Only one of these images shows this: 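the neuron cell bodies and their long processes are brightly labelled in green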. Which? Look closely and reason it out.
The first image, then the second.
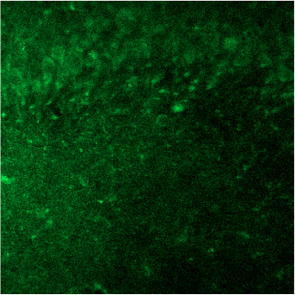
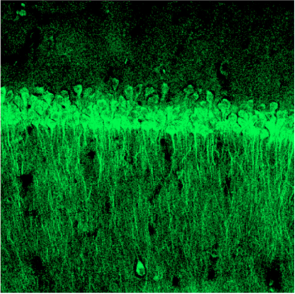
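First image: only faint diffuse green with barely visible cell outlines and no clear processes. Second image: a bright green band of cell bodies with many bright parallel processes below it. That points to this answer: the second image.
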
